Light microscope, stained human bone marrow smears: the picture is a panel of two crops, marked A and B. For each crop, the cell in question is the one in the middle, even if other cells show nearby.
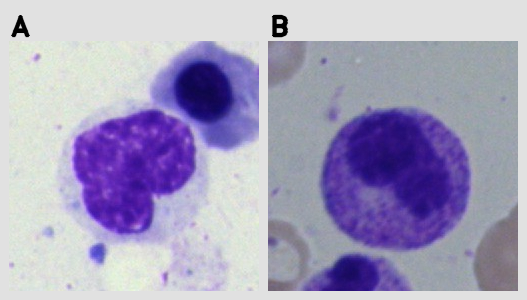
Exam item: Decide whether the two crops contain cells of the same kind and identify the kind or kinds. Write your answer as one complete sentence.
Yes, that is right, both crops show metamyelocytes.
